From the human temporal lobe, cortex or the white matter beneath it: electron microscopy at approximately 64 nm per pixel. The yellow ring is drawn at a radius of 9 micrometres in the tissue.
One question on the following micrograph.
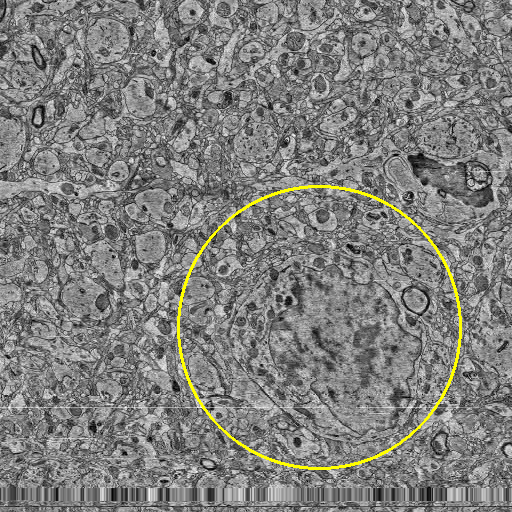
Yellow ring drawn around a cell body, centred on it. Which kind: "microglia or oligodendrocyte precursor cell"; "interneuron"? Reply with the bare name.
interneuron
